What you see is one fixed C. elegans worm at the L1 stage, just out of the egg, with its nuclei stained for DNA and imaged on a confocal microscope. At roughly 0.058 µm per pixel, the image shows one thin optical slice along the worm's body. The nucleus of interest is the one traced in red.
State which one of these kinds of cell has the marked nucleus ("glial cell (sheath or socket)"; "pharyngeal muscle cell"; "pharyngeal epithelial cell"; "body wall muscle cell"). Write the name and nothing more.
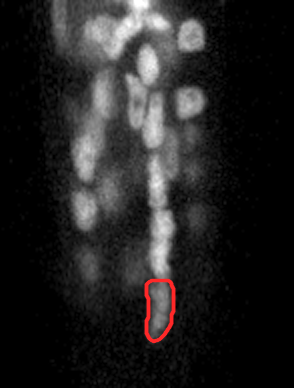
pharyngeal epithelial cell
